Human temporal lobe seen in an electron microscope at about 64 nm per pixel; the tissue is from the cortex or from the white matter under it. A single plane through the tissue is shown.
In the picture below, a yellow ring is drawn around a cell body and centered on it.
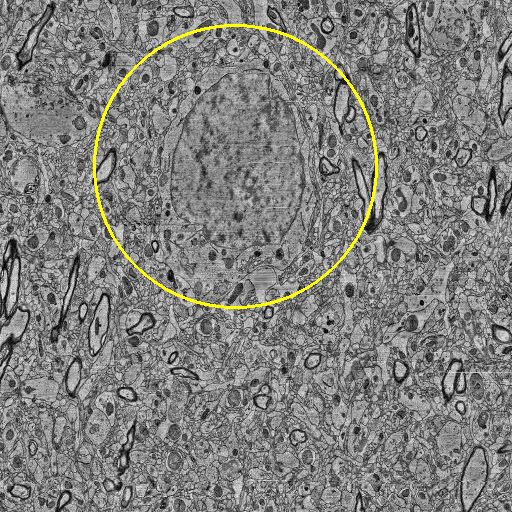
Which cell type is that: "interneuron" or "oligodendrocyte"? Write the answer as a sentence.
The cell centered in the ring is an interneuron.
